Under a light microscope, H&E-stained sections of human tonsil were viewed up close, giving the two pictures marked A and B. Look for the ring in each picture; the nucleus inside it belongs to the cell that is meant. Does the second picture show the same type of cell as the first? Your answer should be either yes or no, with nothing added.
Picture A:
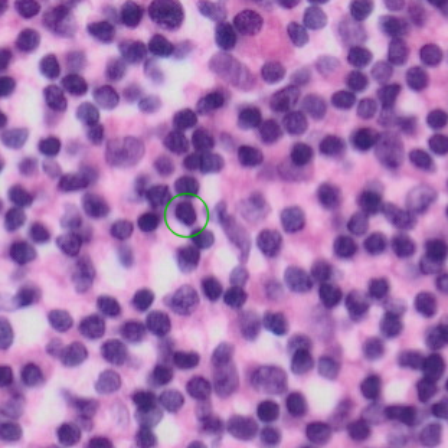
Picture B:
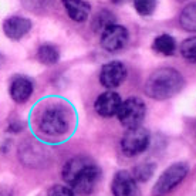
no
